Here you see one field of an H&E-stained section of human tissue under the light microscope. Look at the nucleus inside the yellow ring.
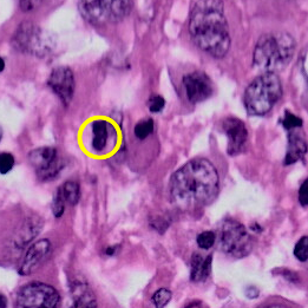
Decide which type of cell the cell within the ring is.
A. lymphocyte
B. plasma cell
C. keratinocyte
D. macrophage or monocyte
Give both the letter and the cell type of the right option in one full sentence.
Of all the options, A is right, since the cell within the ring is a lymphocyte.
